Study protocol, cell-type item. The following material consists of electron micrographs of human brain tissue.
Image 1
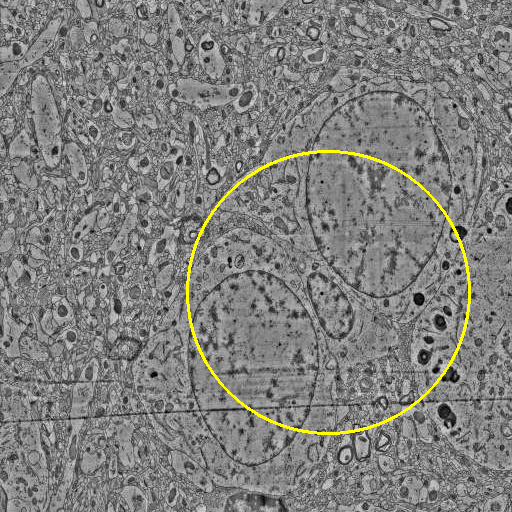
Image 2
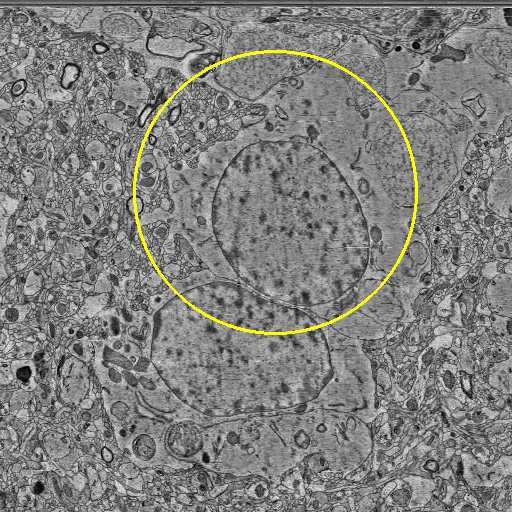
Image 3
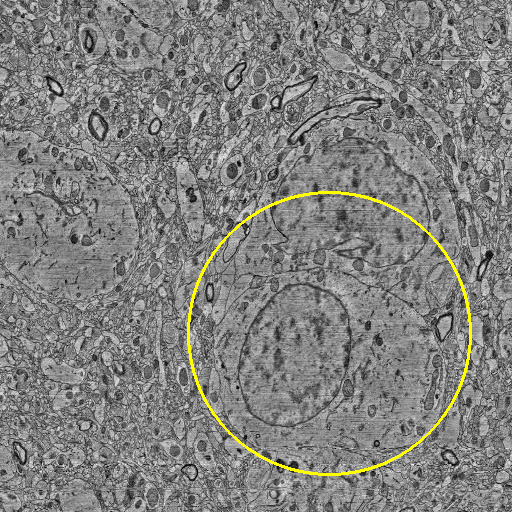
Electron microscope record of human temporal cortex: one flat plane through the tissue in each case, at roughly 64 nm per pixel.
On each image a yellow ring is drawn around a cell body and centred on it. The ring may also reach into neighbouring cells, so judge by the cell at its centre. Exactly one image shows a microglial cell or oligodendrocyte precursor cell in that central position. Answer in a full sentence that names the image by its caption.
The cell at the centre of the ring in Image 1 is of that kind.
